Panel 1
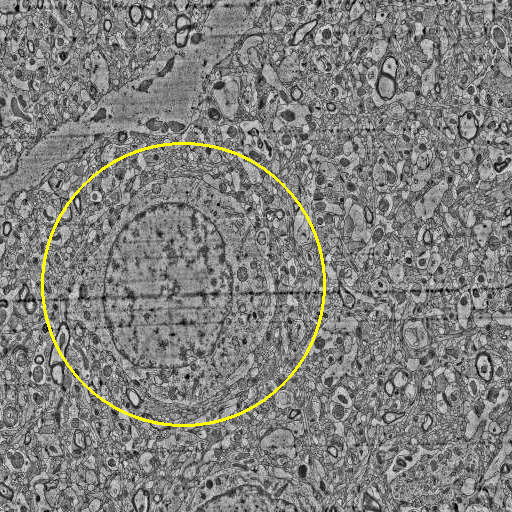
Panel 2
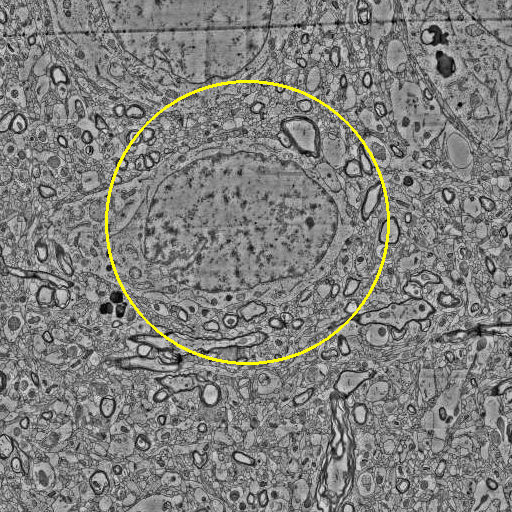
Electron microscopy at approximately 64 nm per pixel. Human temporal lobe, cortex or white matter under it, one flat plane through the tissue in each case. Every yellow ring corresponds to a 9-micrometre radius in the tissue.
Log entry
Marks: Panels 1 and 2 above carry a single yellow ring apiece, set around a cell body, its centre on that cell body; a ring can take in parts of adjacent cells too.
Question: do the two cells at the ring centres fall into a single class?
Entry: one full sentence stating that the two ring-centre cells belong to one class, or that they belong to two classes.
The two ring-centre cells in Panels 1 and 2 belong to one class.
